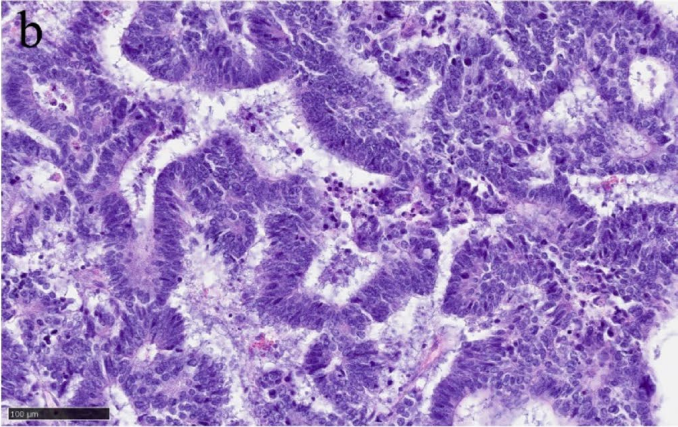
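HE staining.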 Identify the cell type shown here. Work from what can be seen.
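Atypical columnar cells. Cells are tall and columnar with stratified, enlarged dark nuclei. Nuclear chromatin is coarse and dense.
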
